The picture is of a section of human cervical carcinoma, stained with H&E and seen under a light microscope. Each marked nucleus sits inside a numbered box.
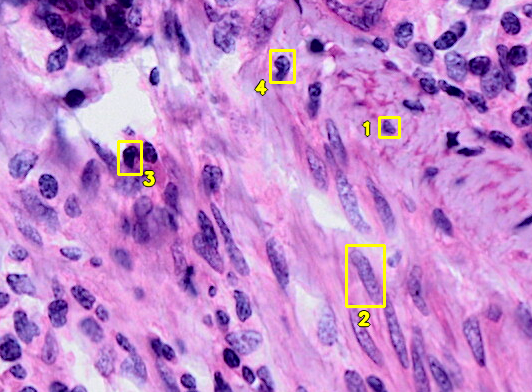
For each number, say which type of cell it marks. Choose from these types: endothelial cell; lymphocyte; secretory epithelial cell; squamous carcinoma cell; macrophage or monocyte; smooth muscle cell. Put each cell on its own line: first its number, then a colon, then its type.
1: smooth muscle cell
2: smooth muscle cell
3: lymphocyte
4: lymphocyte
